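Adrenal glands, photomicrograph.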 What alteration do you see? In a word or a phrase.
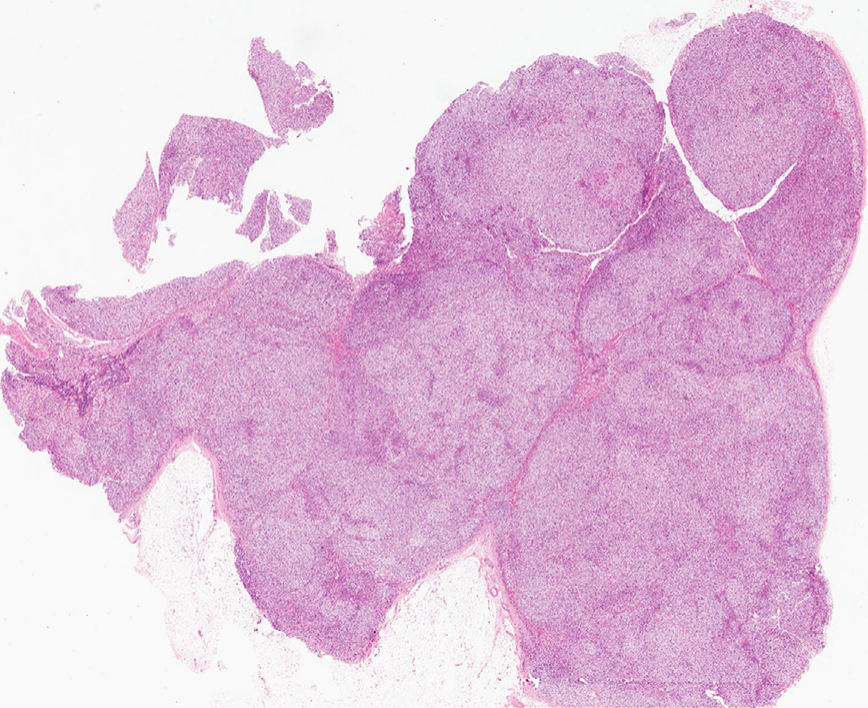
Multiple unencapsulated and irregular cortical nodular proliferations.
